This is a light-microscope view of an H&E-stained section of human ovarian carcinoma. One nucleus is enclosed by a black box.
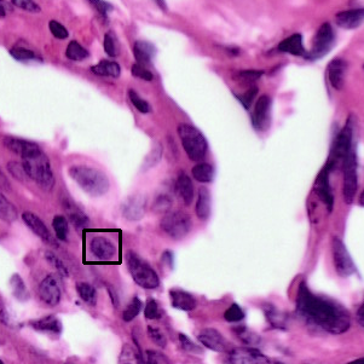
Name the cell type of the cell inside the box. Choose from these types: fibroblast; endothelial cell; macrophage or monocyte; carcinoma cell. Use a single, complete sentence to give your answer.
So far as cell type goes, the cell inside the box is a macrophage or monocyte.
